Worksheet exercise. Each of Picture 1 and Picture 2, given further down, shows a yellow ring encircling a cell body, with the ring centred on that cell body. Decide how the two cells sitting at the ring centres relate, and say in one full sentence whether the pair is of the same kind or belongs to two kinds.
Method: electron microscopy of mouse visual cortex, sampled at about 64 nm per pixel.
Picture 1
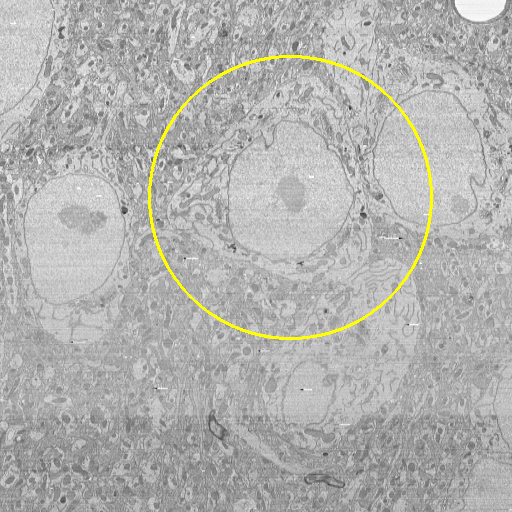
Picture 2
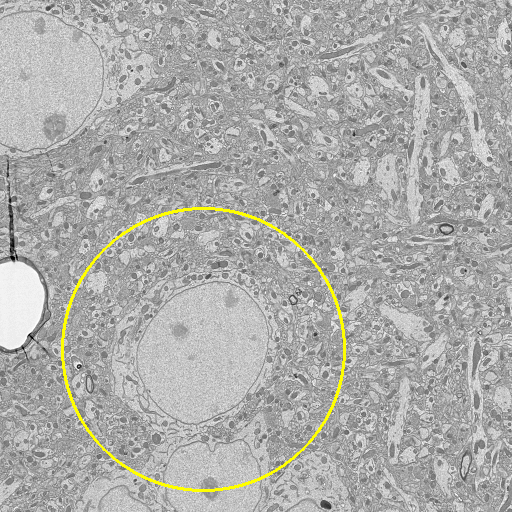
The cells at the ring centres in Picture 1 and Picture 2 belong to two kinds.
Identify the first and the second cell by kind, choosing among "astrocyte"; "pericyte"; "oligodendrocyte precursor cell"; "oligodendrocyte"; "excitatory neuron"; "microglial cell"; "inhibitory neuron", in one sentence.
The one in the first picture is an inhibitory neuron, while the one in the second is an excitatory neuron.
